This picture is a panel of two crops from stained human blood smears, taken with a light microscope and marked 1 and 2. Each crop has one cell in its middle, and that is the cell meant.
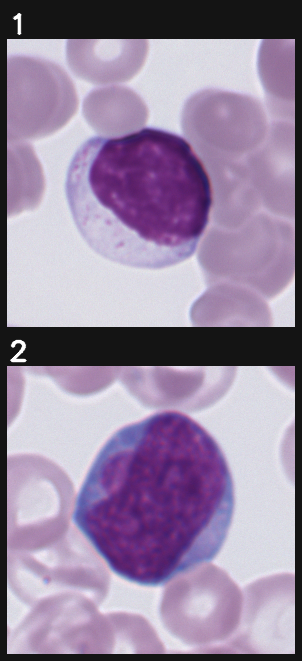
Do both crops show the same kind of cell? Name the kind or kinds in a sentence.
No, just to correct that: crop 1 shows a large granular lymphocyte, crop 2 shows a blast.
